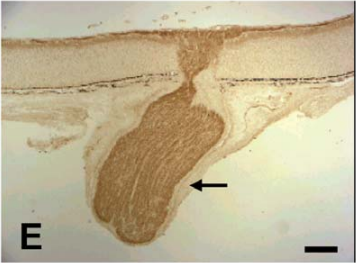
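This shows the back of the eye where the optic nerve leaves, with the retina and thin dark pigmented layer running across the top. A thick bundle of brown-stained axons passes through a narrow opening in the eye wall and then fans out into a broad, club-shaped nerve below. The fibres inside the nerve run lengthwise as fine parallel streaks. The surrounding loose tissue is only faintly stained.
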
